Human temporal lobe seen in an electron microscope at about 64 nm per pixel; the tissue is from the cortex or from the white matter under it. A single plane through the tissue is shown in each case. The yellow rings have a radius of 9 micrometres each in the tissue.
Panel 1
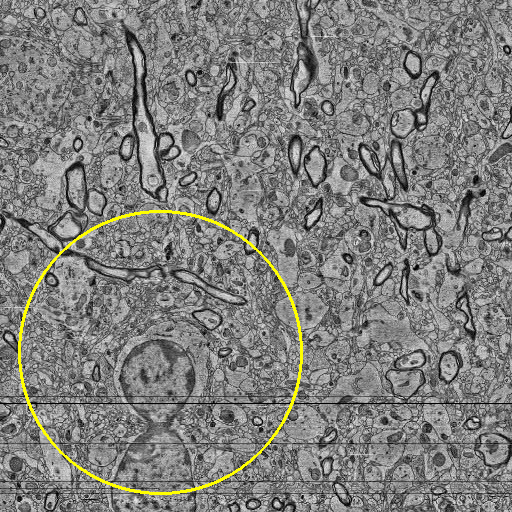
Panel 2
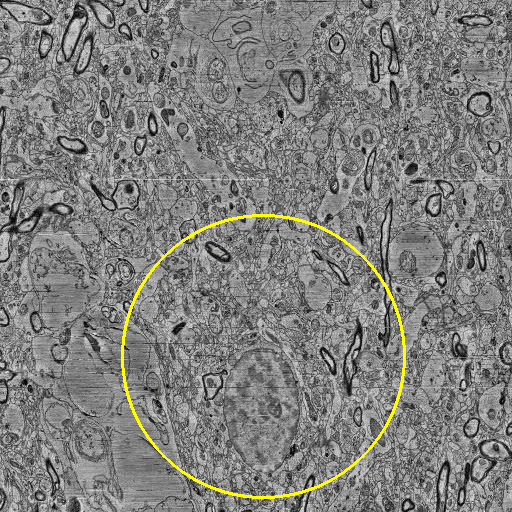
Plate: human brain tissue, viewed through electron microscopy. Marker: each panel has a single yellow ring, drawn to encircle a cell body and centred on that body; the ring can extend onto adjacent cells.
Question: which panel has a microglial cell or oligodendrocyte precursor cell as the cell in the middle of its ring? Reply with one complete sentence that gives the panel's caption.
Panel 1 is where the requested cell sits at the centre of the ring.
